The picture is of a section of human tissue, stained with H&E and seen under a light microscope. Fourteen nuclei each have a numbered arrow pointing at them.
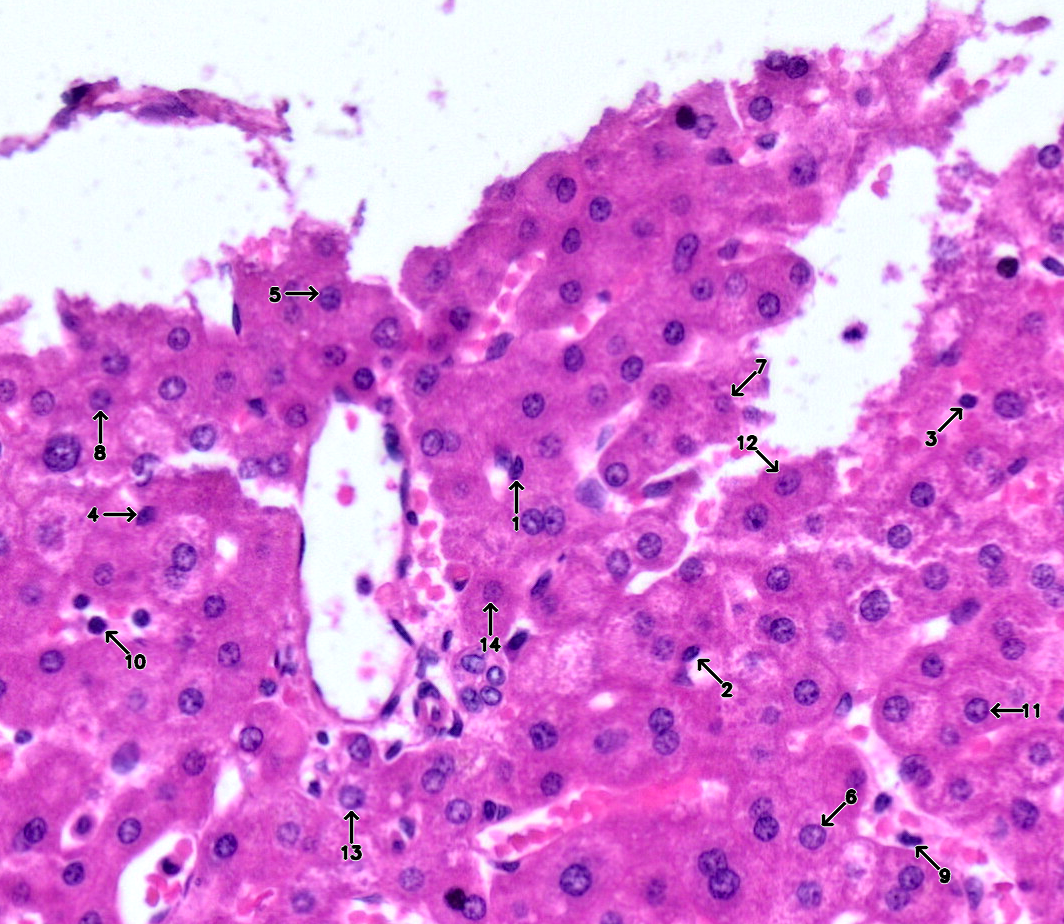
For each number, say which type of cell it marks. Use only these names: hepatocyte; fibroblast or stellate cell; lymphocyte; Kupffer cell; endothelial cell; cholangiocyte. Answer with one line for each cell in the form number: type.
1: fibroblast or stellate cell
2: fibroblast or stellate cell
3: lymphocyte
4: fibroblast or stellate cell
5: hepatocyte
6: hepatocyte
7: hepatocyte
8: hepatocyte
9: lymphocyte
10: lymphocyte
11: hepatocyte
12: hepatocyte
13: hepatocyte
14: hepatocyte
